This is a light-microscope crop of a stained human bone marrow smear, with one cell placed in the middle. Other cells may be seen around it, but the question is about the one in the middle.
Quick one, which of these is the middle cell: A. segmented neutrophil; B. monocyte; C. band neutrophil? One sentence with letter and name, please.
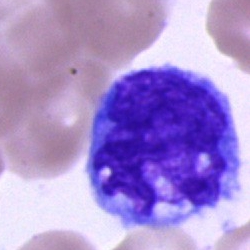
That middle cell is a monocyte, and option B is therefore correct.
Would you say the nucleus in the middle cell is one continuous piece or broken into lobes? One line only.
The nucleus holds together as a single compact mass, round, oval or kidney-like.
